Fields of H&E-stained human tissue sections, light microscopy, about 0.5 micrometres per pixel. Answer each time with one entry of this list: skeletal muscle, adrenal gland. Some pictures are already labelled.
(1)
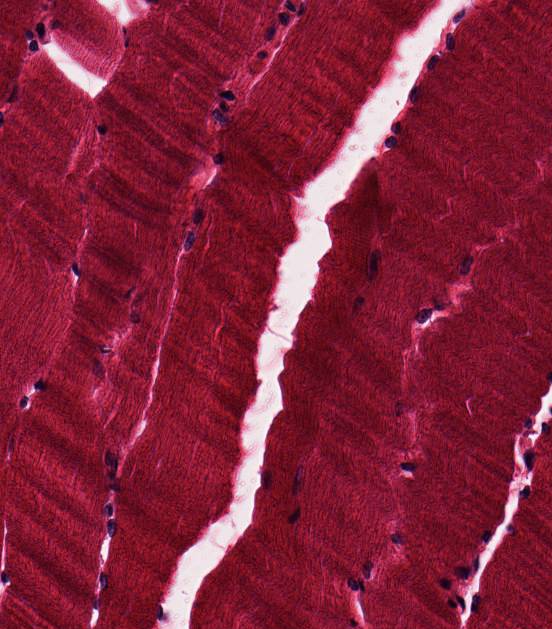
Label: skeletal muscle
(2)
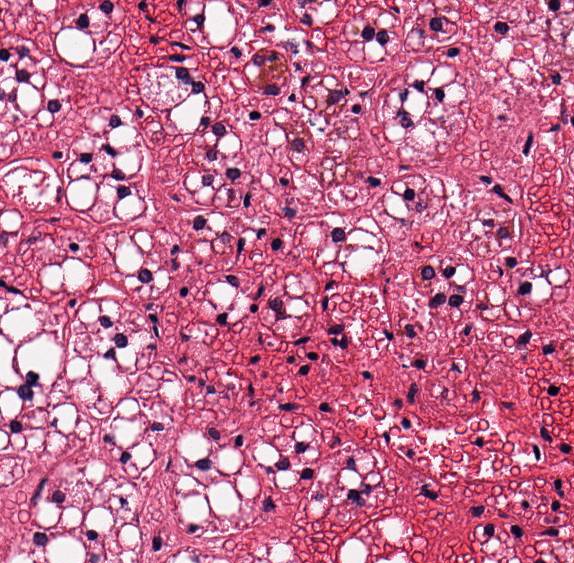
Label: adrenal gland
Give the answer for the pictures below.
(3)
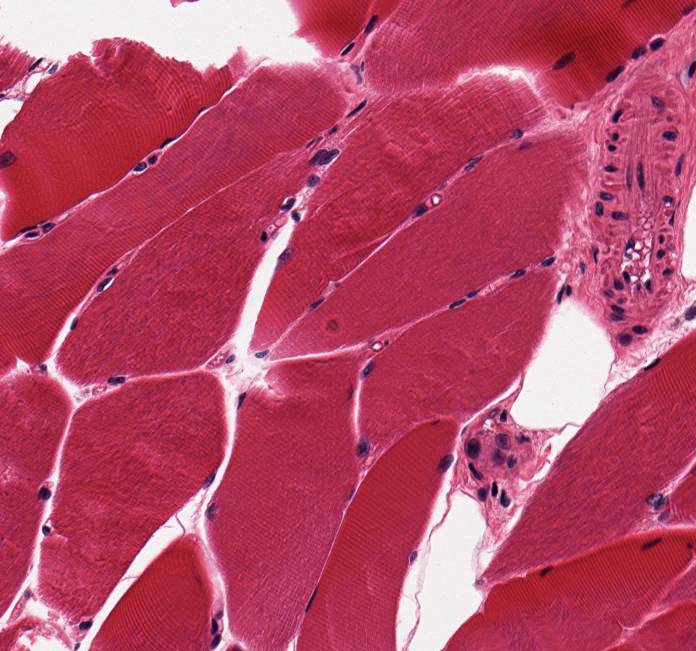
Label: skeletal muscle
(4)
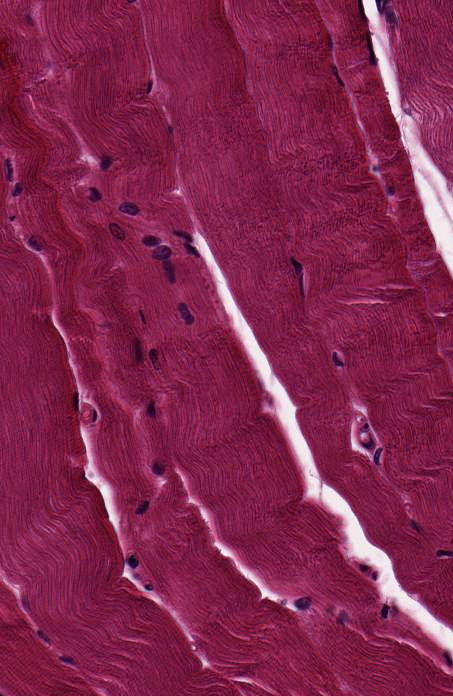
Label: skeletal muscle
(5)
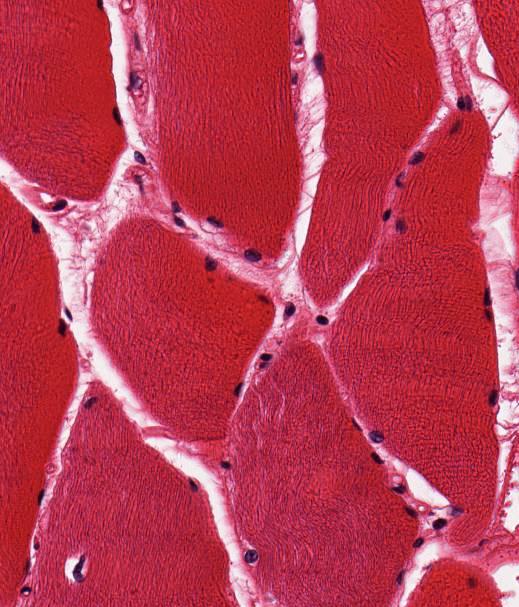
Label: skeletal muscle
